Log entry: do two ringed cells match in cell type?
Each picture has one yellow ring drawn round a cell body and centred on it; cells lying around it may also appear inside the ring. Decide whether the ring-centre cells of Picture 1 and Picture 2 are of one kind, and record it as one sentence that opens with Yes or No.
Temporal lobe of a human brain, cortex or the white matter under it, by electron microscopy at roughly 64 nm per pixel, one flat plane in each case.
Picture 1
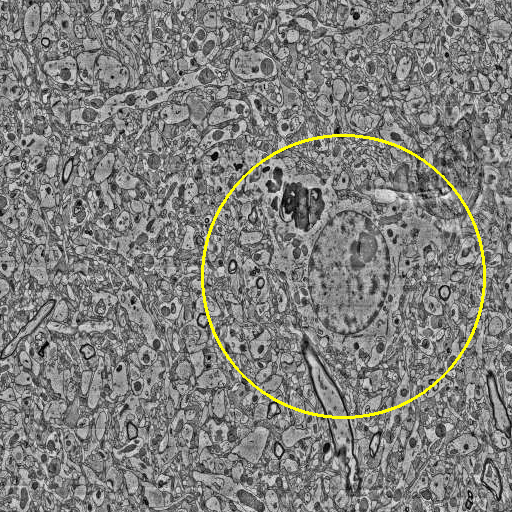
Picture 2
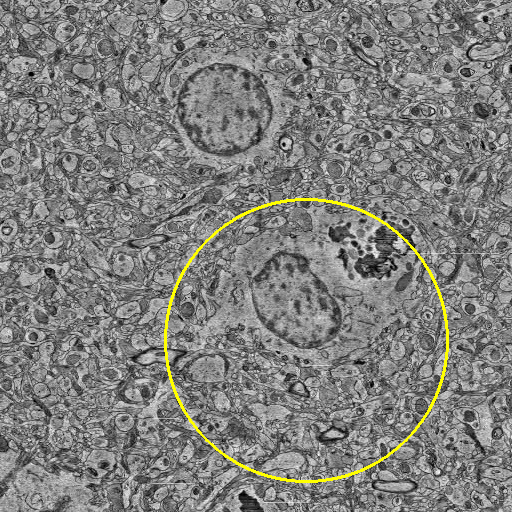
Yes, the cells at the ring centres of the two pictures belong to one kind.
